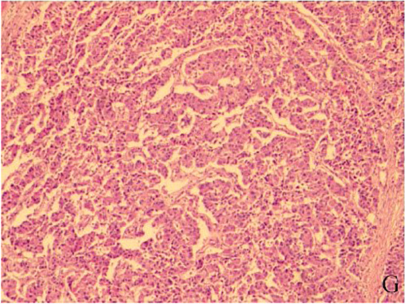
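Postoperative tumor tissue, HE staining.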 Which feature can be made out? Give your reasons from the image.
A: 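Tumor cells are arranged in anastomosing cords and small nests. Narrow clear spaces separate the cords. On this evidence: nest-like and cord-like distributions.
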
